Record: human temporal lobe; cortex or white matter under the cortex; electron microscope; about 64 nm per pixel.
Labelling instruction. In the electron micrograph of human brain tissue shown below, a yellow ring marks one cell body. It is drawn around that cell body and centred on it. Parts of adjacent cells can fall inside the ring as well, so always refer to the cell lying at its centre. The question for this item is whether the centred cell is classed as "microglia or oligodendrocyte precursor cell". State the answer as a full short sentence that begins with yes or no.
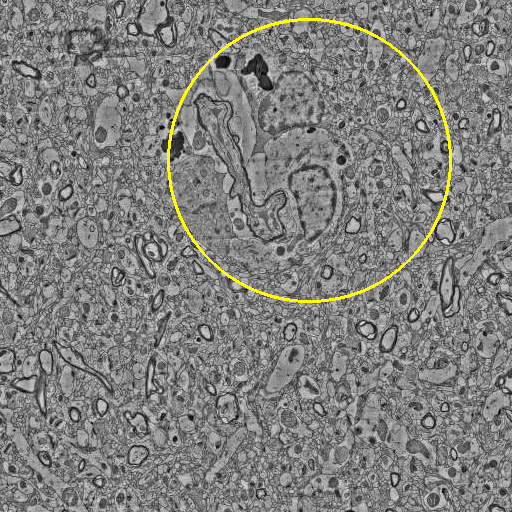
Yes, the centred cell is of that class.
